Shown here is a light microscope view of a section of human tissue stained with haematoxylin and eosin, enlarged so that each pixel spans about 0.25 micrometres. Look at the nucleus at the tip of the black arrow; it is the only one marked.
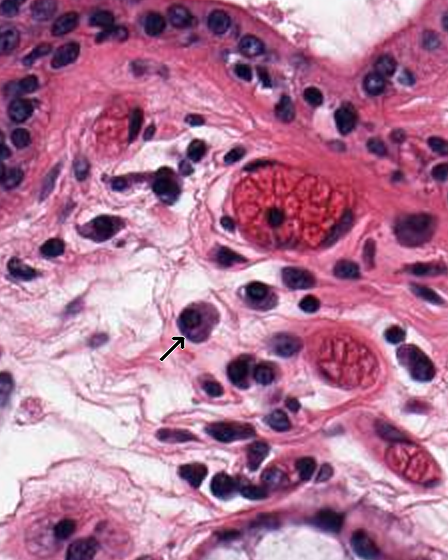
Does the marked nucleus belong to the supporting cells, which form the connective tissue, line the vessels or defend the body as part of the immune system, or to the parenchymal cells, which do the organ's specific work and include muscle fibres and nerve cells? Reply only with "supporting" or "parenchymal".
supporting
